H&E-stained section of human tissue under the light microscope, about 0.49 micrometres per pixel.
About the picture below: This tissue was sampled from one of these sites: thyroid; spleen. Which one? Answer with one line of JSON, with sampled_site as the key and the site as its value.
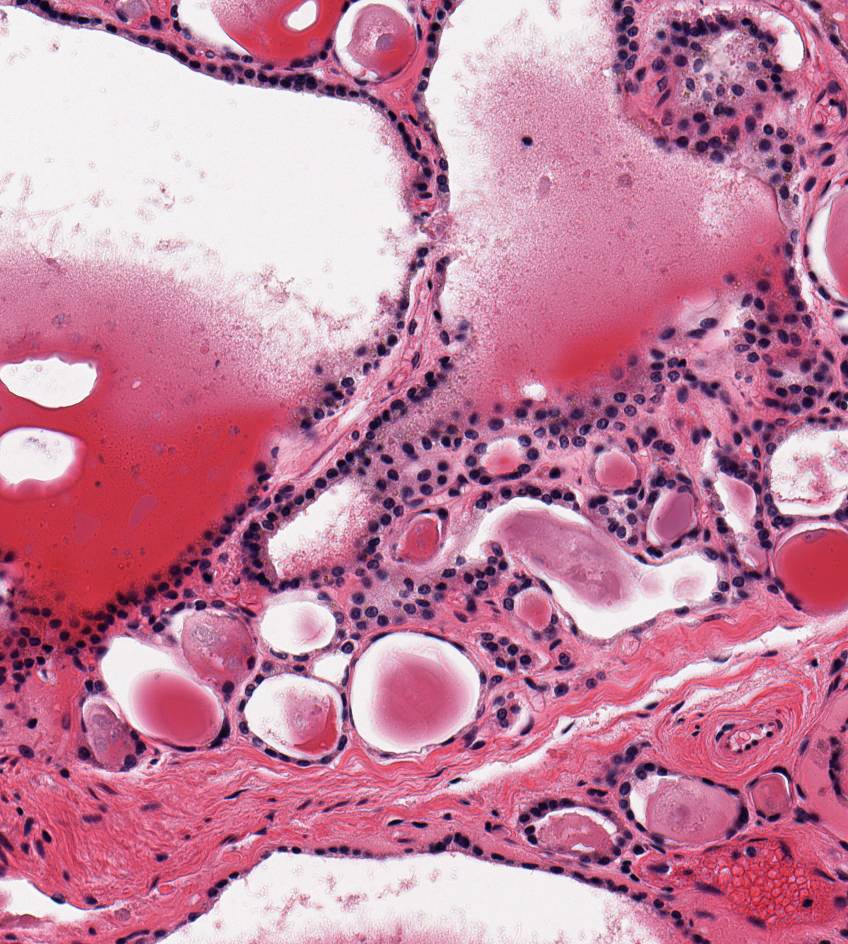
{"sampled_site": "thyroid"}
